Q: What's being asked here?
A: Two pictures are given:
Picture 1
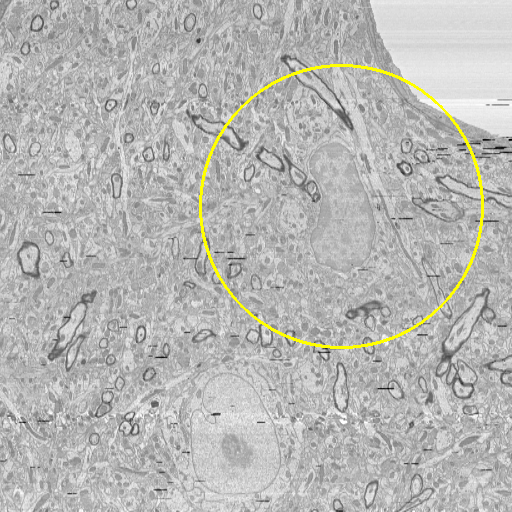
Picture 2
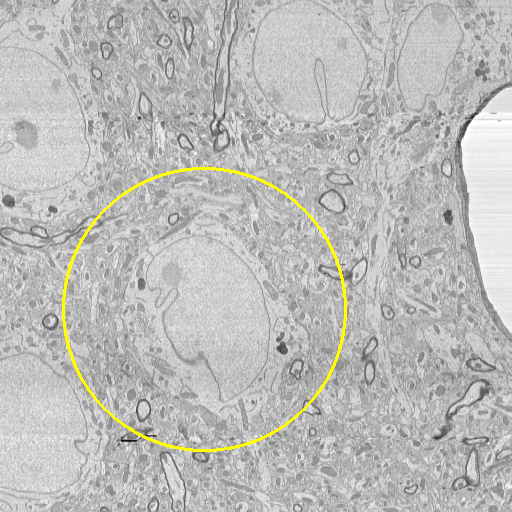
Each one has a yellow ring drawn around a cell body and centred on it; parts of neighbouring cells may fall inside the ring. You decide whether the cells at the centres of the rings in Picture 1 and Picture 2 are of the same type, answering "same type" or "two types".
two types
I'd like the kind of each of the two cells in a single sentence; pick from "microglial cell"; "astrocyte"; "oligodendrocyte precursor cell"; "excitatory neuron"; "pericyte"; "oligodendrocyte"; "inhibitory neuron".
The first ring marks a microglial cell, and the second ring marks an excitatory neuron.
